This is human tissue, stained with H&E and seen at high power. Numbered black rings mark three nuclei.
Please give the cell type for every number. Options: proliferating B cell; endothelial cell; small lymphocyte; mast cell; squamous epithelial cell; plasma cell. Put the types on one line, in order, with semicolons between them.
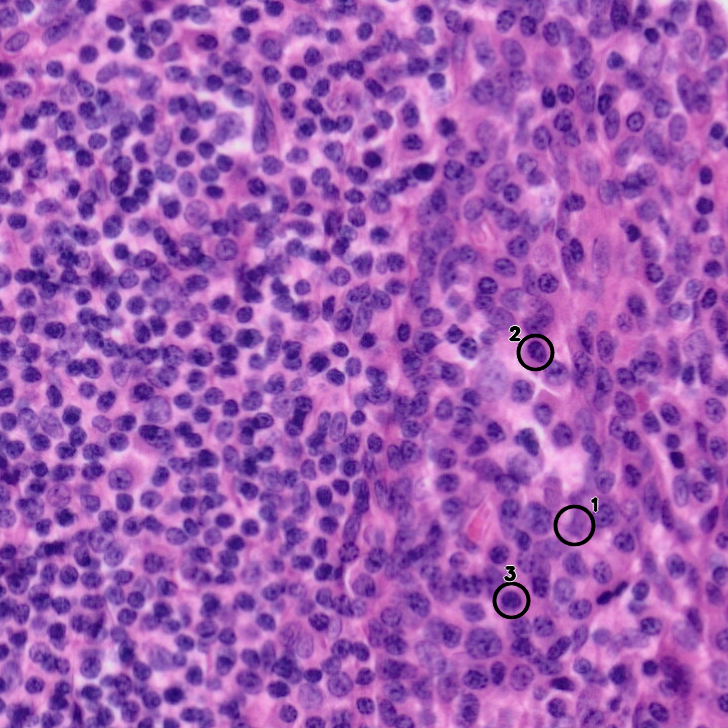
squamous epithelial cell; plasma cell; plasma cell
